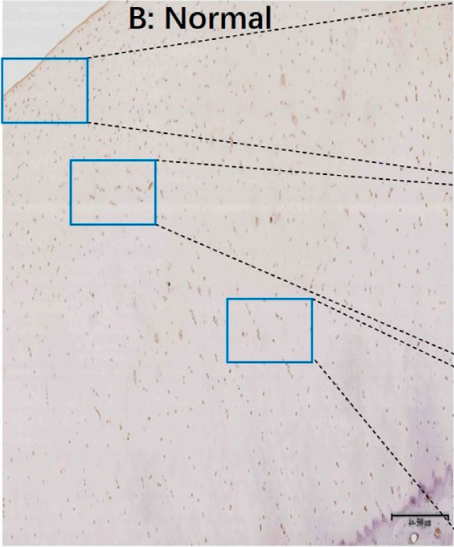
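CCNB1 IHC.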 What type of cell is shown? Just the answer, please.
Chondrocytes.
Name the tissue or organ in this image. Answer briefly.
Cartilage.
